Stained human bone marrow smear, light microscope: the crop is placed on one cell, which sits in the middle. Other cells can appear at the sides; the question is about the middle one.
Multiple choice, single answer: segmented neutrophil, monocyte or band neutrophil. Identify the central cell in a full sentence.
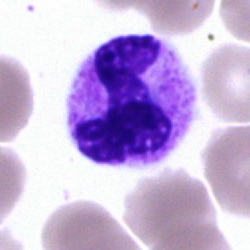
Classification of the middle cell gives a segmented neutrophil.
